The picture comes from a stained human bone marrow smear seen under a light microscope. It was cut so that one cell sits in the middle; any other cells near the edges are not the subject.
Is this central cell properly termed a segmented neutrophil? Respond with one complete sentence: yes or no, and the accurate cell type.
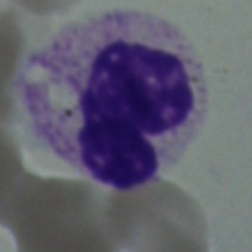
No, the central cell is classed as a band neutrophil and not as a segmented neutrophil.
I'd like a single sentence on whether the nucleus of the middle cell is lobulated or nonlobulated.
Its nucleus is lobed, with at least two separate segments.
